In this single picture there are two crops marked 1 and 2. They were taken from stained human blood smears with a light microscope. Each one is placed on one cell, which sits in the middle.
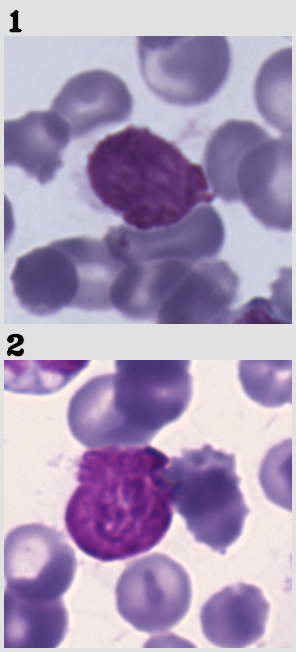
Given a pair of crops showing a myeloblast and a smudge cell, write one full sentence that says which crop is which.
Crop 1 is to be read as a myeloblast and crop 2 as a smudge cell.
